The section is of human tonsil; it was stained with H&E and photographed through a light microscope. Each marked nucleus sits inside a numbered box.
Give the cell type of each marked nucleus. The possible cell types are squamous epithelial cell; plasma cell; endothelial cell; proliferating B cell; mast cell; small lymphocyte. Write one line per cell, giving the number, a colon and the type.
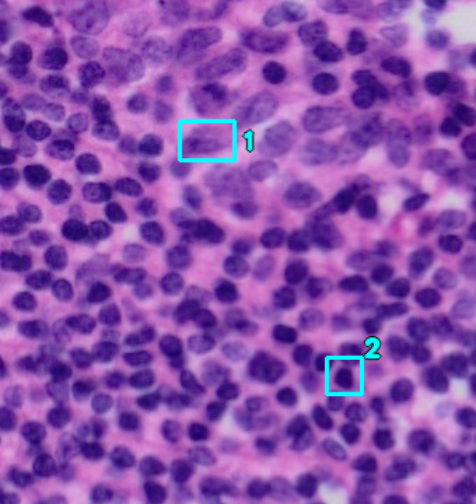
1: proliferating B cell
2: small lymphocyte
